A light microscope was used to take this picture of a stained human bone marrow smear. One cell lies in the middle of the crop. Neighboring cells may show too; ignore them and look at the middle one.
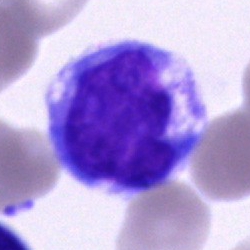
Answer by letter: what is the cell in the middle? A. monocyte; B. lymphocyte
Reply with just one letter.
A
